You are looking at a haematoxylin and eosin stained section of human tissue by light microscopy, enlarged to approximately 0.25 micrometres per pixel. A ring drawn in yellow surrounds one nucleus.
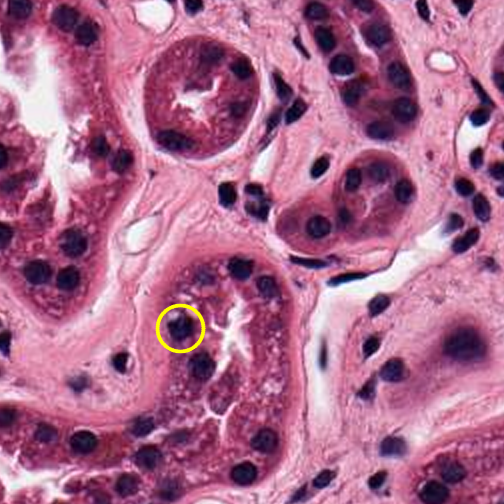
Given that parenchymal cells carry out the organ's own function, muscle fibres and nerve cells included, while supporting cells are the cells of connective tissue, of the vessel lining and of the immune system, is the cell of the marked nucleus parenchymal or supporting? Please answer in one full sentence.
The marked nucleus is that of a parenchymal cell, specifically a proximal tubule cell.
